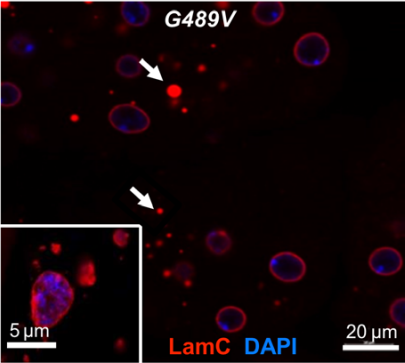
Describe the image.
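Many nuclei are round to oval and fairly large, scattered widely across the field. Between them lie numerous red dots of different sizes that carry no blue, so they sit outside the nuclei. The inset shows one nucleus closely, with its red rim and a cluster of red dots lying just beside it.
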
